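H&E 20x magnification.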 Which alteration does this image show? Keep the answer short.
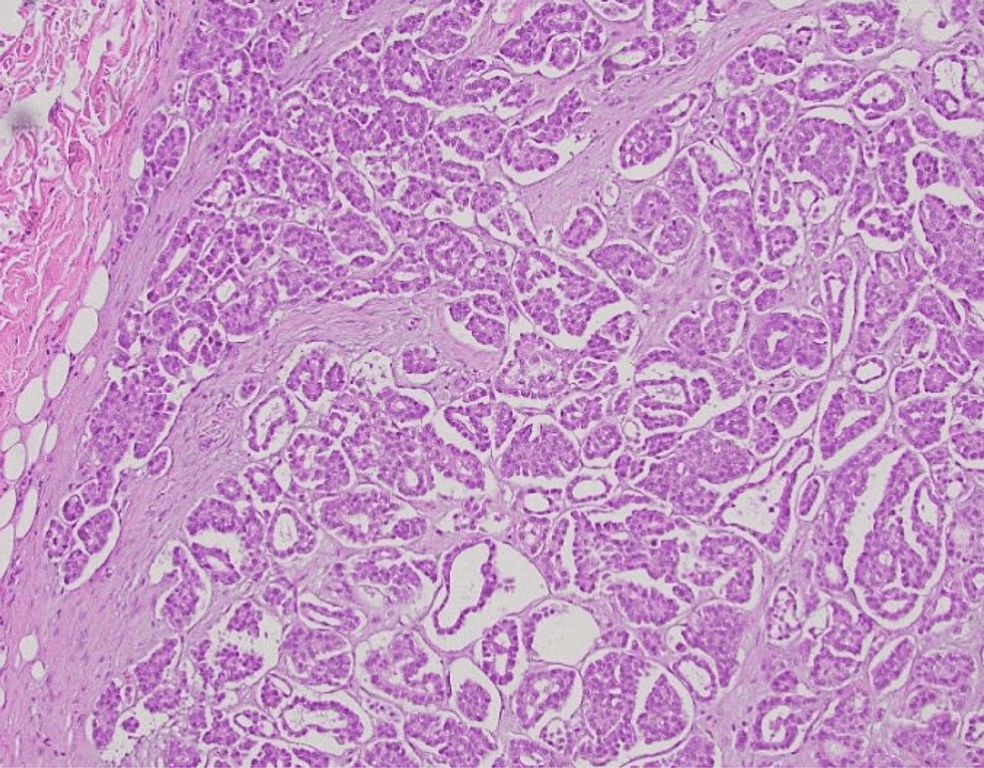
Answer: Glandular differentiation.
